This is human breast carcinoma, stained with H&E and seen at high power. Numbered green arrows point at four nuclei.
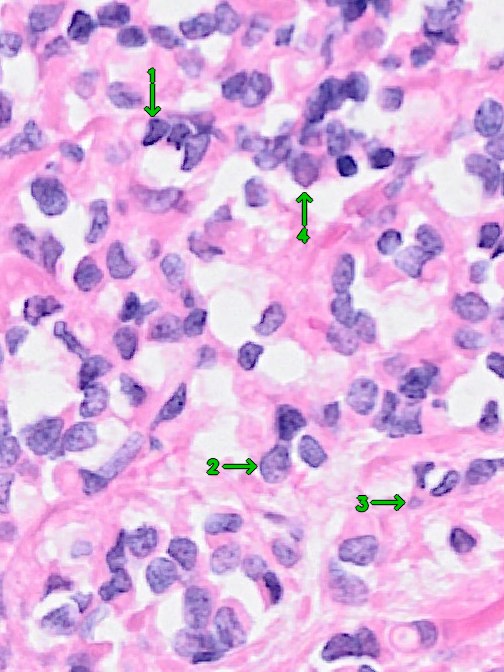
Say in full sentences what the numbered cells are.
Cells 1, 2 and 4 are carcinoma cells. Cell 3 is an endothelial cell.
